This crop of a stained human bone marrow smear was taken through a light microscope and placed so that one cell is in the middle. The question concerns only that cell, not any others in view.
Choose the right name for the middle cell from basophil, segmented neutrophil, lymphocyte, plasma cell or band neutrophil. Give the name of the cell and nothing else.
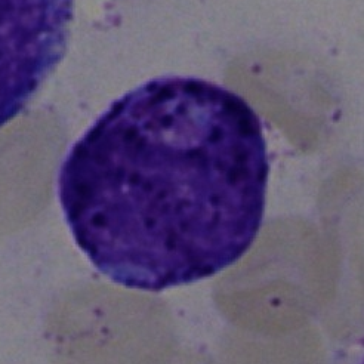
basophil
